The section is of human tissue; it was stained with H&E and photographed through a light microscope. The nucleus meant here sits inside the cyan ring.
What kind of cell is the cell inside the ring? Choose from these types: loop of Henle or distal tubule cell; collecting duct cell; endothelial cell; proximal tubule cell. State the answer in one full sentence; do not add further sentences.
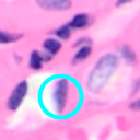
As for its identity, the cell inside the ring is an endothelial cell.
